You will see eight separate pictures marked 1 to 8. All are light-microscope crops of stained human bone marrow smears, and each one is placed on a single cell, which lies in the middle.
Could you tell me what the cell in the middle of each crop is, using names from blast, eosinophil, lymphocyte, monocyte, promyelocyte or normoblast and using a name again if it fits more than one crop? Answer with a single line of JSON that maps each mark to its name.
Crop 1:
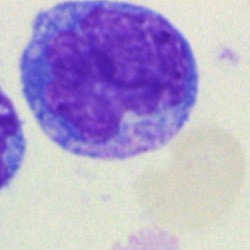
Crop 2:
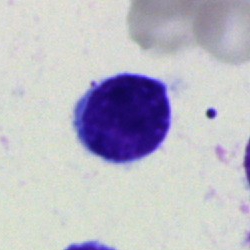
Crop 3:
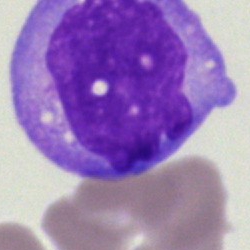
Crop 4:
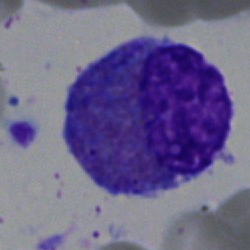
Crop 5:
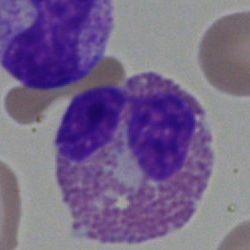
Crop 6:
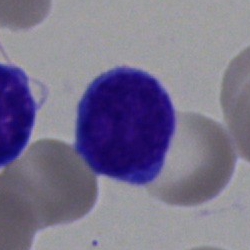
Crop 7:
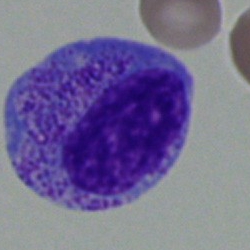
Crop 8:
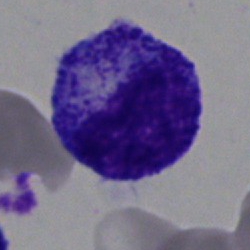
{"1": "monocyte", "2": "lymphocyte", "3": "monocyte", "4": "eosinophil", "5": "eosinophil", "6": "lymphocyte", "7": "promyelocyte", "8": "promyelocyte"}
